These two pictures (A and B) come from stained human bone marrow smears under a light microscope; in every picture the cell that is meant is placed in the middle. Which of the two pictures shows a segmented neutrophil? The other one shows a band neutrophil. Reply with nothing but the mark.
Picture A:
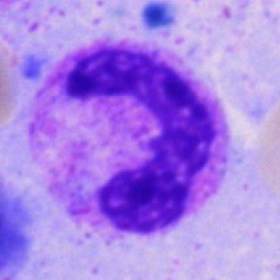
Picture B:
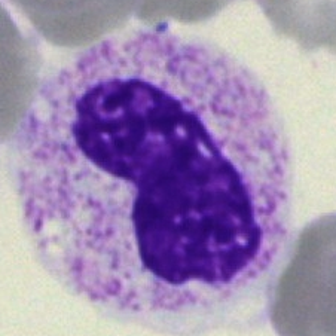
A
